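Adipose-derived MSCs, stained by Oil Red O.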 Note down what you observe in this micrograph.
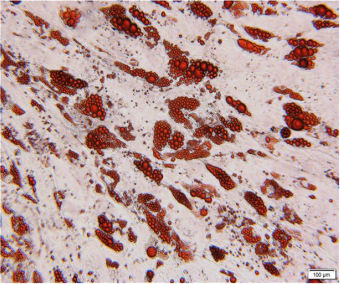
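The droplets range from small granules to large spheres, often clustered tightly within one cell. The droplet-laden cells are scattered among paler, unstained elongated cells in the background.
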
